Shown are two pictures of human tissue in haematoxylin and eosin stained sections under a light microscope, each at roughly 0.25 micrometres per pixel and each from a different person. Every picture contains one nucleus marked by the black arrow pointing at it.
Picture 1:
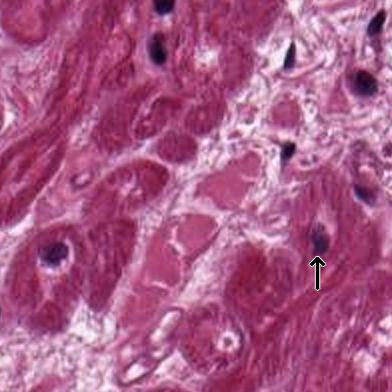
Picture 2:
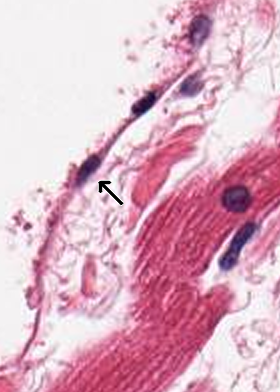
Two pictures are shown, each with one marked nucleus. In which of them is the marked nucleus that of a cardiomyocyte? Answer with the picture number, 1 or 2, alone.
1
